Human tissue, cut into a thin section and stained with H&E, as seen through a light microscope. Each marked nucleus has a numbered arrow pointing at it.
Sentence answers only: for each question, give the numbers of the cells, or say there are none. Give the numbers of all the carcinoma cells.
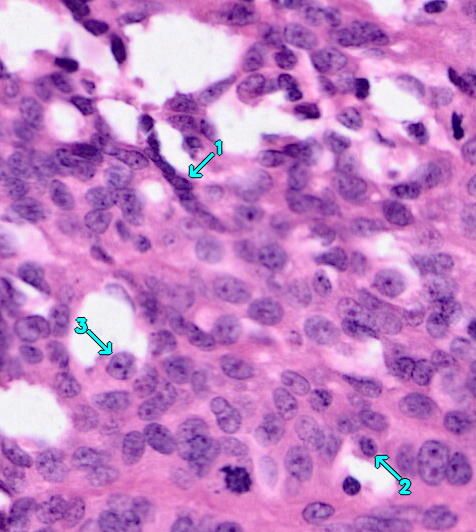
Cell 1 is a carcinoma cell, and this holds for no other numbered cell.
